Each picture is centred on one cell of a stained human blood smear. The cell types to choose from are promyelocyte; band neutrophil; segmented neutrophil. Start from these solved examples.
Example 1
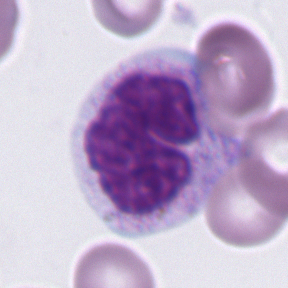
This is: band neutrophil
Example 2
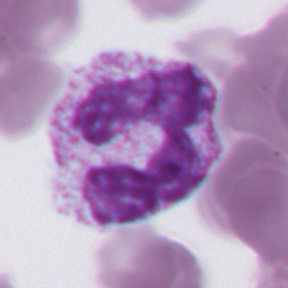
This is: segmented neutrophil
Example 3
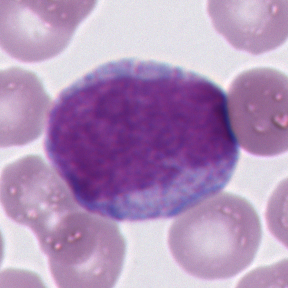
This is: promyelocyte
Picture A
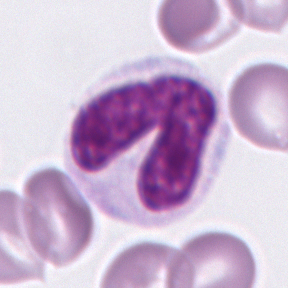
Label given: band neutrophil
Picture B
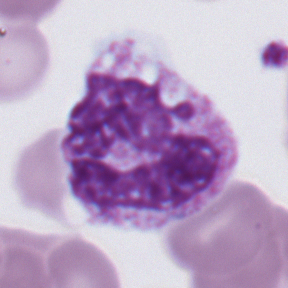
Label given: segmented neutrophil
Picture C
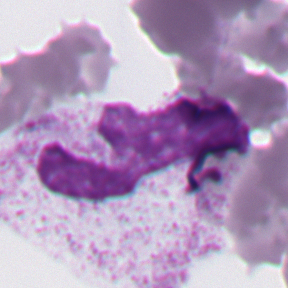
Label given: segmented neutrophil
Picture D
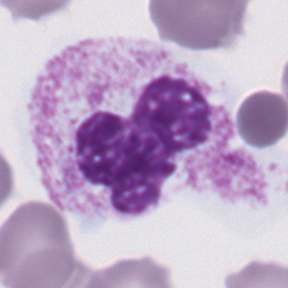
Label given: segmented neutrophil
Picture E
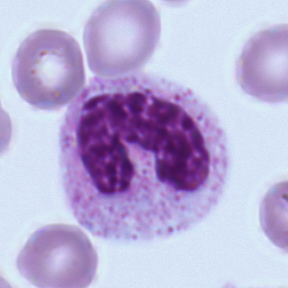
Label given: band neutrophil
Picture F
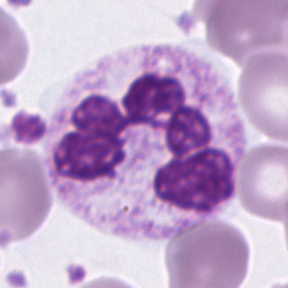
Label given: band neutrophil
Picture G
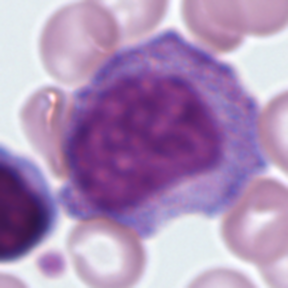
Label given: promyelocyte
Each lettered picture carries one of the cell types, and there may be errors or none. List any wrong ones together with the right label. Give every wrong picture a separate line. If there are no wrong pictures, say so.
Wrong: F (band neutrophil); correct: segmented neutrophil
